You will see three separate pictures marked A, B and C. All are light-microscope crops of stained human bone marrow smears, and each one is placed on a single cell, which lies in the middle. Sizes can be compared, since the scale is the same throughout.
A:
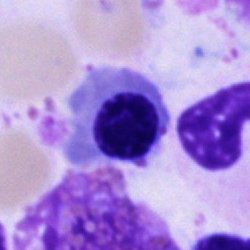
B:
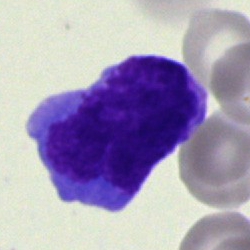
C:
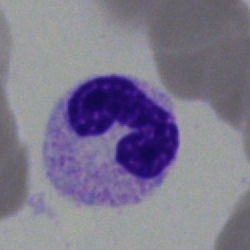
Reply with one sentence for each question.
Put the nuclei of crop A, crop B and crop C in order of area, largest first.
Largest first: B, C, A.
